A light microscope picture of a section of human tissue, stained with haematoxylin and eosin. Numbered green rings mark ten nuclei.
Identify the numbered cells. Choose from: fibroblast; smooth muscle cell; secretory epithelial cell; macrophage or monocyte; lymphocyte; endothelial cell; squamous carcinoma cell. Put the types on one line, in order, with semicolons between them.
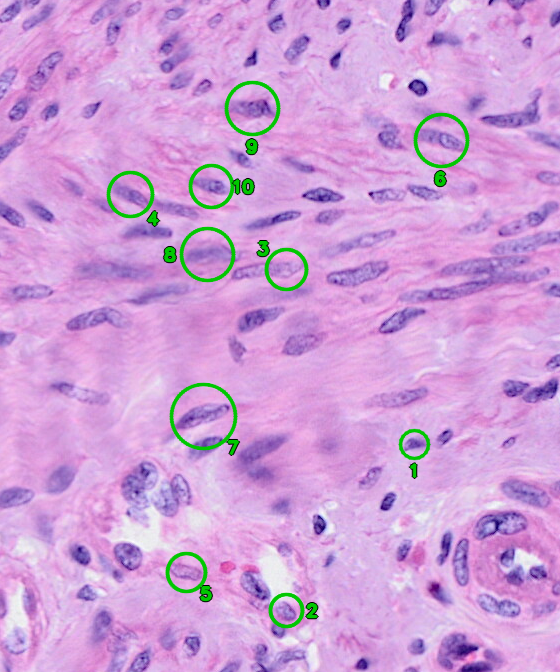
fibroblast; endothelial cell; smooth muscle cell; smooth muscle cell; endothelial cell; smooth muscle cell; fibroblast; smooth muscle cell; smooth muscle cell; smooth muscle cell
